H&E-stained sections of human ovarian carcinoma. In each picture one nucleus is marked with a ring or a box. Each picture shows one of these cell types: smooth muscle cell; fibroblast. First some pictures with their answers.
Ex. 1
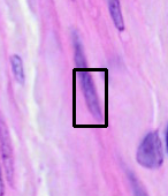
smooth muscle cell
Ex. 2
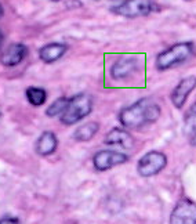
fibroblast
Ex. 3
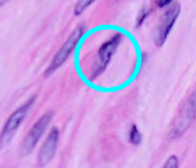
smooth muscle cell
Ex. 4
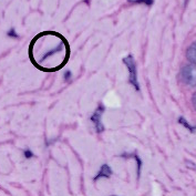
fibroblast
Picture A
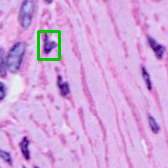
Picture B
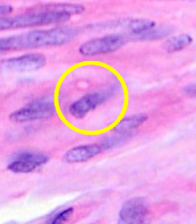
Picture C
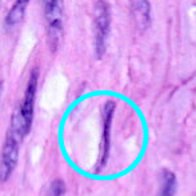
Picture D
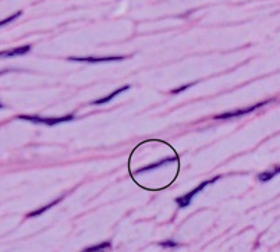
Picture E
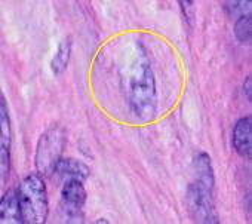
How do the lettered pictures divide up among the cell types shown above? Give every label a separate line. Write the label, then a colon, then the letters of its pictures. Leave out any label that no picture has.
smooth muscle cell: B
fibroblast: A, C, D, E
